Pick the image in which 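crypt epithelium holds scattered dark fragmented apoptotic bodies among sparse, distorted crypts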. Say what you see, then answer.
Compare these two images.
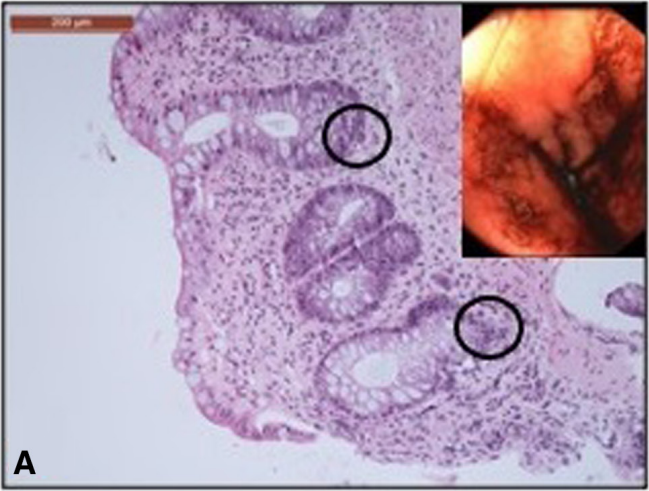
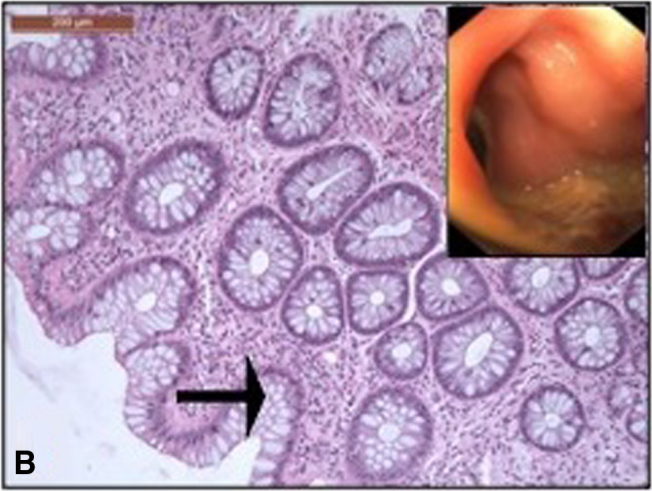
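Second image: many round, evenly spaced crypts full of pale goblet cells, without clusters of dark nuclear debris. First image: few irregular crypts in a cellular lamina propria, with dark nuclear fragments at crypt bases.
Answer: the first image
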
